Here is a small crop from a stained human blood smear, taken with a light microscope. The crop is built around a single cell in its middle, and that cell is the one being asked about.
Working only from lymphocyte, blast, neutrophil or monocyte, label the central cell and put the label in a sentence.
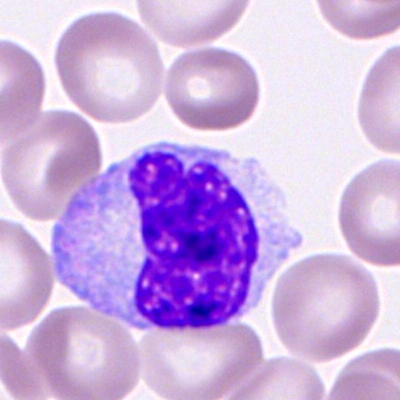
The cell shown in the center of this light-microscope crop is a monocyte.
